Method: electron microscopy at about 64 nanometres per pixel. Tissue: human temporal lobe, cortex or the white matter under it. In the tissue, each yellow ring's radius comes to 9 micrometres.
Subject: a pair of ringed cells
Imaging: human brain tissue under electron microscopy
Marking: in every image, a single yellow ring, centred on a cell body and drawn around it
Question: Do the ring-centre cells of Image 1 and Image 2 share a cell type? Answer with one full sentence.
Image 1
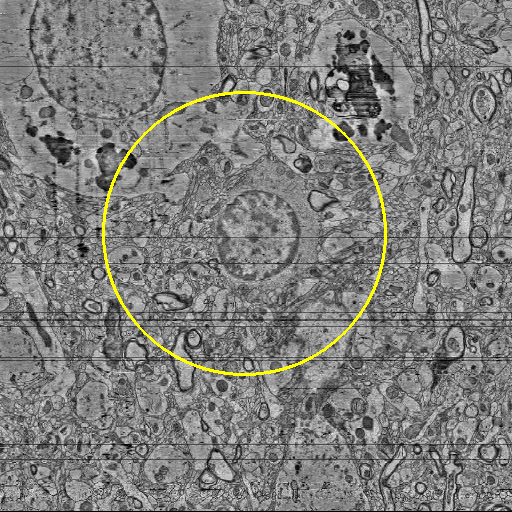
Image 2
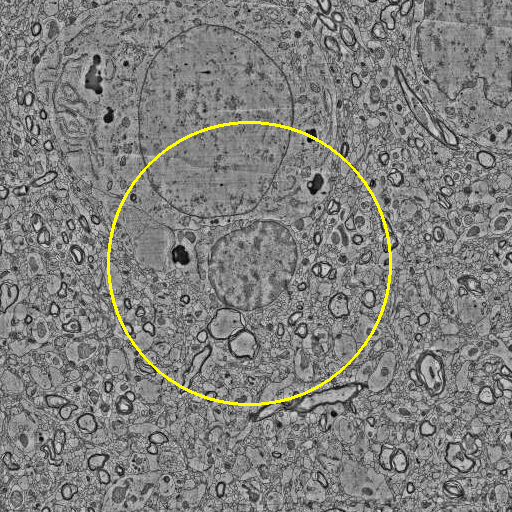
Yes, at each ring's centre in the images sits a cell of one common type.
